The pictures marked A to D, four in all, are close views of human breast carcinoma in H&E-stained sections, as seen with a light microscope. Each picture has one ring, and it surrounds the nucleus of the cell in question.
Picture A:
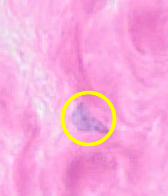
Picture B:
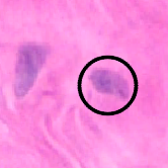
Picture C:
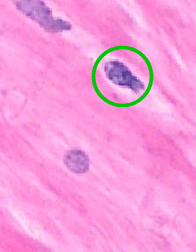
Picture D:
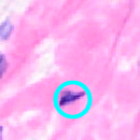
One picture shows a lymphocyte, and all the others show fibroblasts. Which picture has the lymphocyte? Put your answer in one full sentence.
The picture with the lymphocyte is C.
